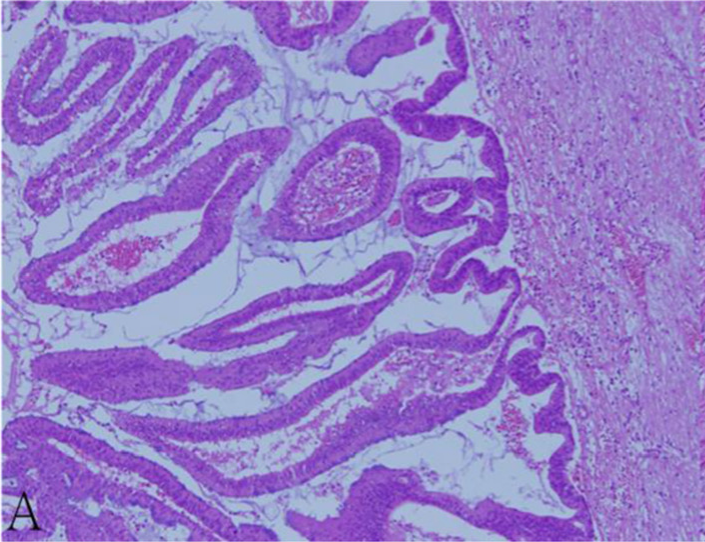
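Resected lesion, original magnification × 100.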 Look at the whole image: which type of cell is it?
Columnar cells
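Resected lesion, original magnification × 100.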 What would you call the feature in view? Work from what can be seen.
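Long, folded fronds lined by a single dark-staining epithelial layer project into open spaces. The fronds have thin cores, some holding red blood cells. So: papillary structures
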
